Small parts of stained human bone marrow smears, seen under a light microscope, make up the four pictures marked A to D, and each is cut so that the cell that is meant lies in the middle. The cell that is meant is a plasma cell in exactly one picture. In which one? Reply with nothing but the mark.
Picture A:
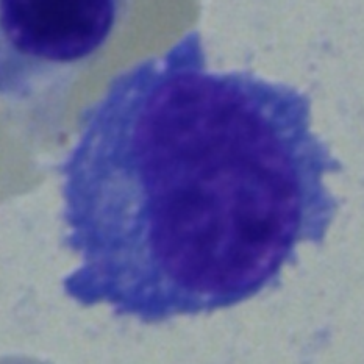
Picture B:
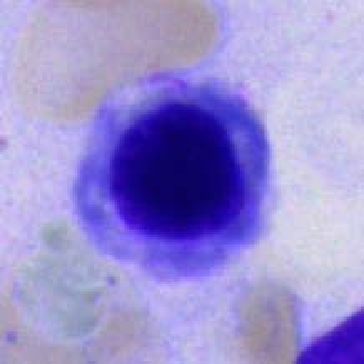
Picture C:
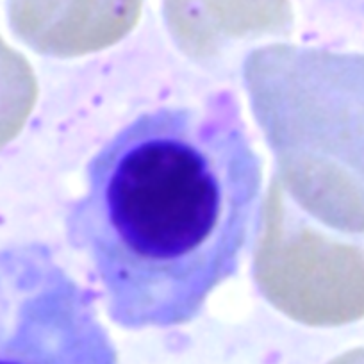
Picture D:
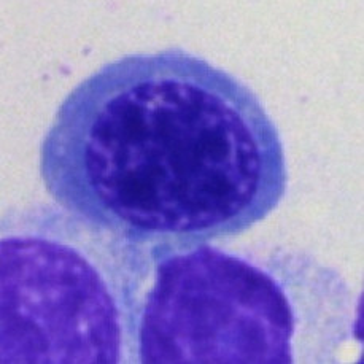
A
